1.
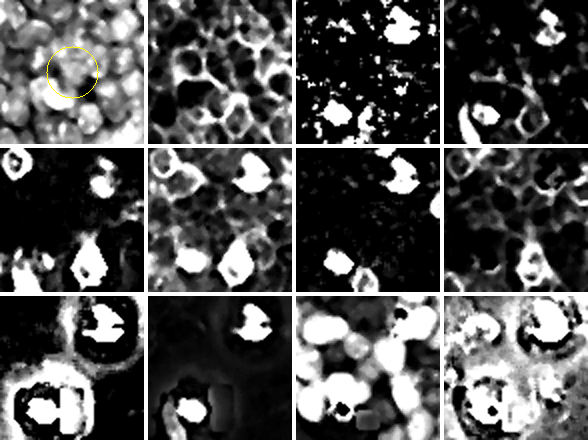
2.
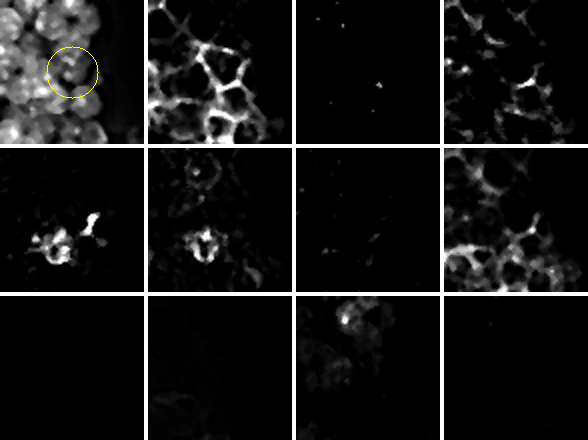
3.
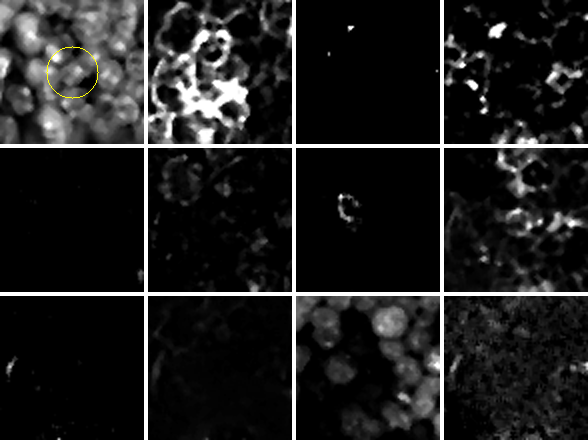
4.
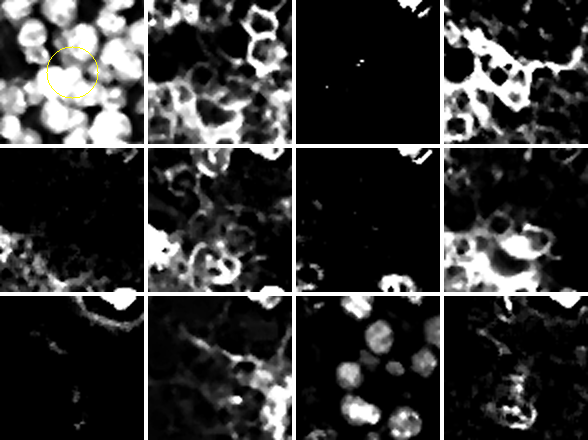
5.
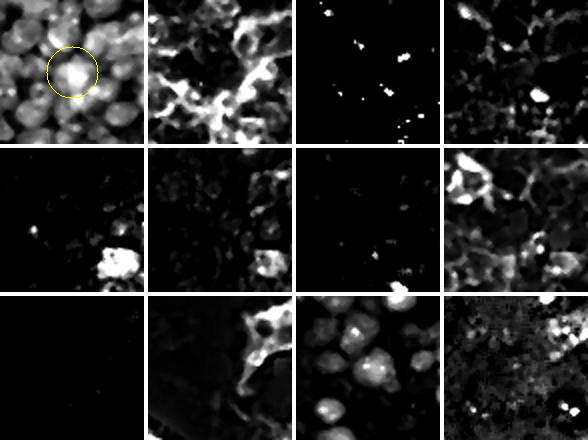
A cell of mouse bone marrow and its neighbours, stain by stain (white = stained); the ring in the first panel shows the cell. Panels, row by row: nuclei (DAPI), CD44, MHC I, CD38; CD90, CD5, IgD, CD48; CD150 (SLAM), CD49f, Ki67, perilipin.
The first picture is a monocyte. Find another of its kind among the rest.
Picture 3.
